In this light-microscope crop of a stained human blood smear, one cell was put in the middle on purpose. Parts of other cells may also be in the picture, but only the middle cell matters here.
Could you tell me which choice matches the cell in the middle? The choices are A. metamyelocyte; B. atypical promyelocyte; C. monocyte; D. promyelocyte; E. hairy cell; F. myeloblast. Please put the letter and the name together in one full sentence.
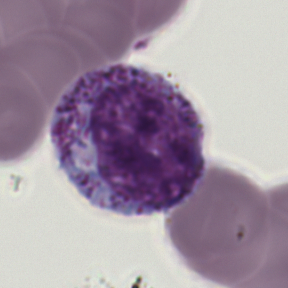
Option D is right, the centrally situated cell being a promyelocyte.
